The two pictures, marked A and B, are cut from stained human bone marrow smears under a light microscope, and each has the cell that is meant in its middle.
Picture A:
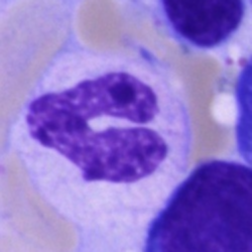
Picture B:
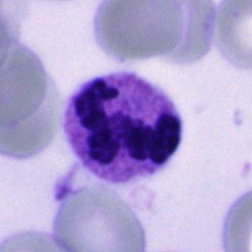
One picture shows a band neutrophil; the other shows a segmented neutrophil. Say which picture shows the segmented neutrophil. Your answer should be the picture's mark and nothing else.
B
